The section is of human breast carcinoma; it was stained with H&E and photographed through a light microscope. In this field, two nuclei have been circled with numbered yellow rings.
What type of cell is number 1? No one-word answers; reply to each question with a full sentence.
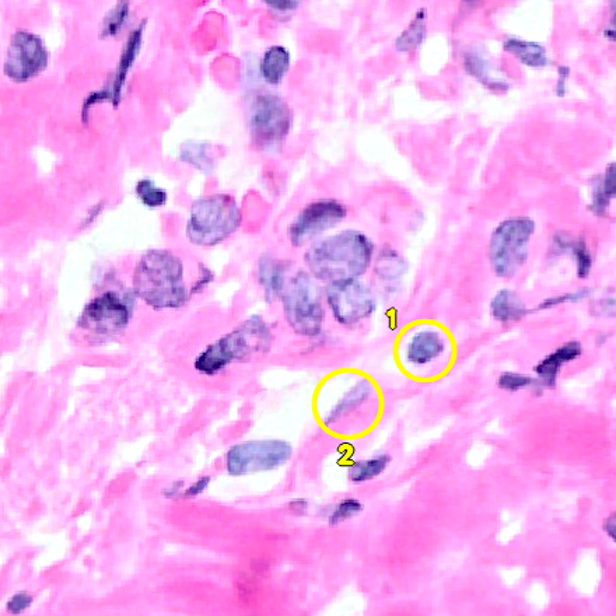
Here, the cell given the number 1 is a lymphocyte.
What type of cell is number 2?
In the tissue shown, cell 2 is a fibroblast.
